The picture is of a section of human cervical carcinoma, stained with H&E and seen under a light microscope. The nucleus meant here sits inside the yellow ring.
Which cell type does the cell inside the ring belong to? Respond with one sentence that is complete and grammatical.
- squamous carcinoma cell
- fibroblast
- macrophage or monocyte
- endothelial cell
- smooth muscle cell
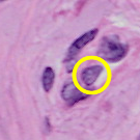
In the tissue at hand, the cell inside the ring is an endothelial cell.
